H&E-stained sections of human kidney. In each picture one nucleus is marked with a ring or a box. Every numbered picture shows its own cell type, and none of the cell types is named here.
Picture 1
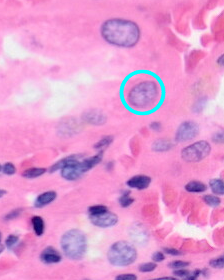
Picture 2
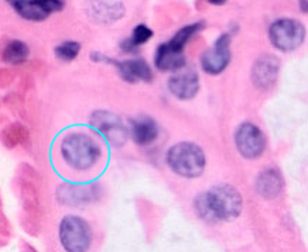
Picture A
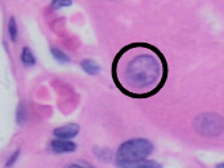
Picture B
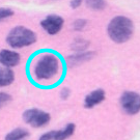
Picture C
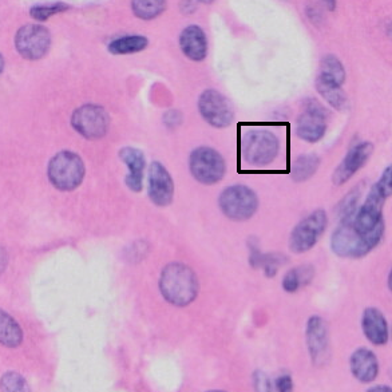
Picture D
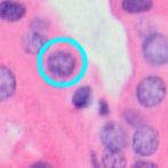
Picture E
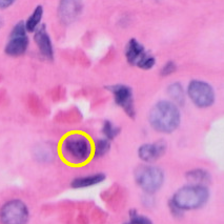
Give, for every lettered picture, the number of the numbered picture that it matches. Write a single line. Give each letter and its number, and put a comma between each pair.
A 1, B 2, C 2, D 2, E 1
